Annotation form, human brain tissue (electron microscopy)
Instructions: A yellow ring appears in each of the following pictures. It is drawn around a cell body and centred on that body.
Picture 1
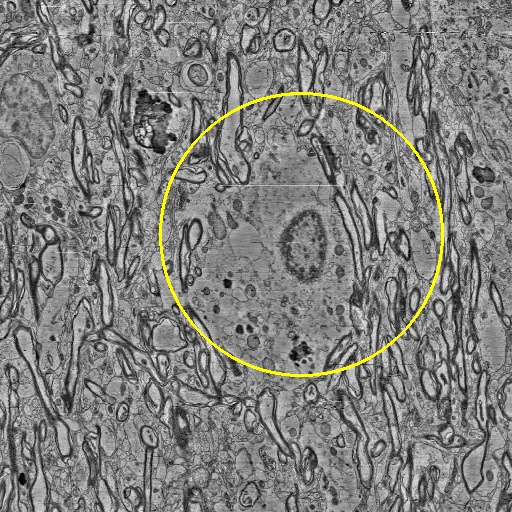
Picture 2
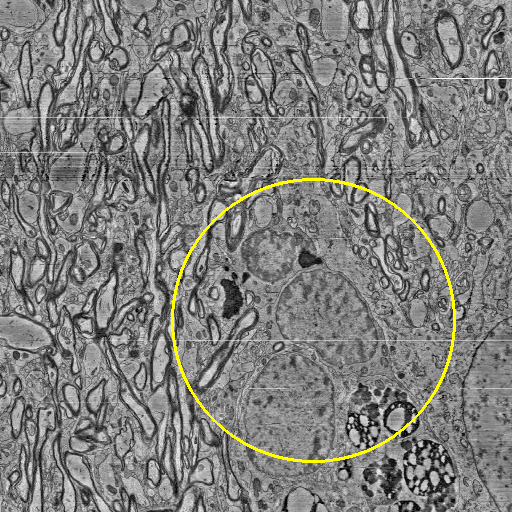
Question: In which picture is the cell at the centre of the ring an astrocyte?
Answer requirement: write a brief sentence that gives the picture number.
The cell at the centre of the ring in Picture 1 is the one asked for.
